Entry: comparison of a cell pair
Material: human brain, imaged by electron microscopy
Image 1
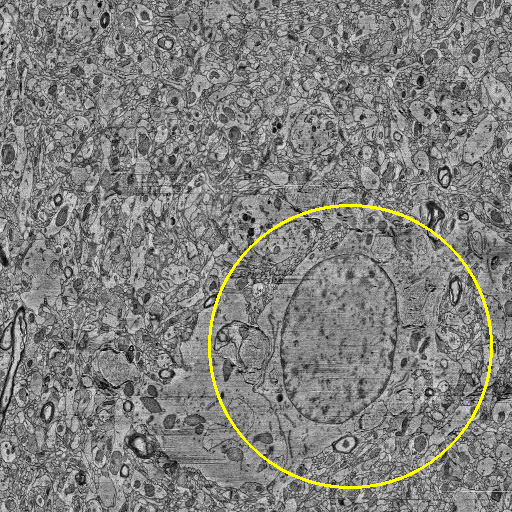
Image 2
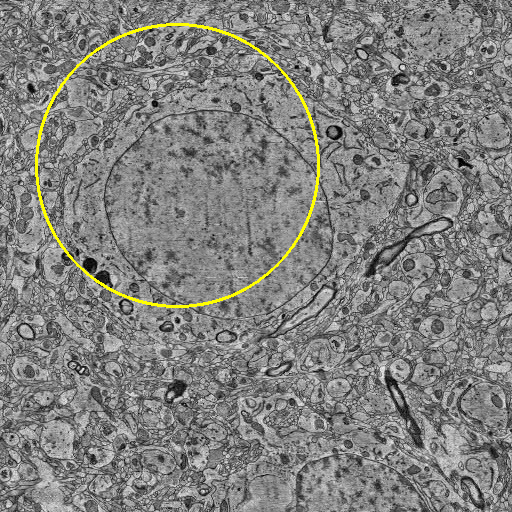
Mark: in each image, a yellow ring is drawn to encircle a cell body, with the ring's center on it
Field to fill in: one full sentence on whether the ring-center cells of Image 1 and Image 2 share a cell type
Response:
No, Image 1 and Image 2 show ring-center cells of two separate types.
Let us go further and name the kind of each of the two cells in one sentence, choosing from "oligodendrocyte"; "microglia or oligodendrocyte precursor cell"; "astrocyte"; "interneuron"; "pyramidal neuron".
The ring of the first picture is on an astrocyte, the ring of the second on a pyramidal neuron.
